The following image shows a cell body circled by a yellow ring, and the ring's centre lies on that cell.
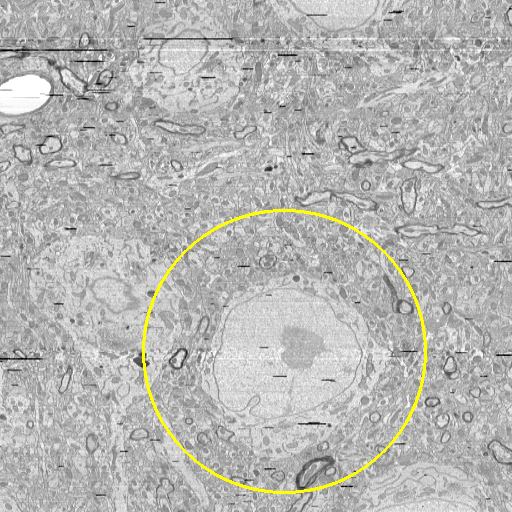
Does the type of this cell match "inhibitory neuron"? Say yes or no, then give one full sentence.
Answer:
No, the cell at the ring's centre in this picture has a different type.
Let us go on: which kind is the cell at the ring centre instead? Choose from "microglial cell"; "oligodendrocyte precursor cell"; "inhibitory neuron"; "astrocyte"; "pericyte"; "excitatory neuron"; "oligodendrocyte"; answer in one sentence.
The ringed cell in this picture is, instead, an excitatory neuron.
